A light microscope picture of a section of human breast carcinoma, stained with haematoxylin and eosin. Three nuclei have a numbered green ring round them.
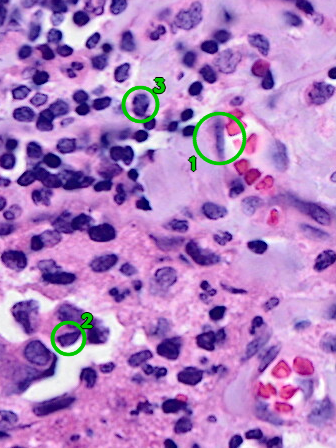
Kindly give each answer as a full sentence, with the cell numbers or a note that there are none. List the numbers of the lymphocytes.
The sole numbered cell that is a lymphocyte is cell 3.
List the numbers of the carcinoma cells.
The cell bearing the number 2 is a carcinoma cell, unlike the rest of the numbered cells.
